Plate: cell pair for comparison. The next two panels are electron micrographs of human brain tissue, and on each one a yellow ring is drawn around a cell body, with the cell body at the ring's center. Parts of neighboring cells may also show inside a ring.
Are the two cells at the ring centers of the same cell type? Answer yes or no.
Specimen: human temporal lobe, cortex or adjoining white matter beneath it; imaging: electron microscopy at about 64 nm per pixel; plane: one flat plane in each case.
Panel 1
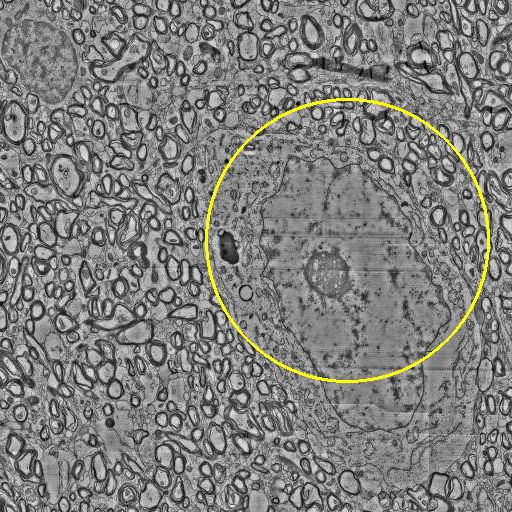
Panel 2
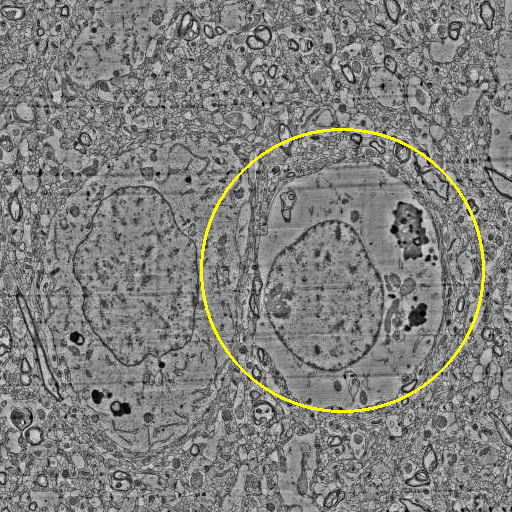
no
